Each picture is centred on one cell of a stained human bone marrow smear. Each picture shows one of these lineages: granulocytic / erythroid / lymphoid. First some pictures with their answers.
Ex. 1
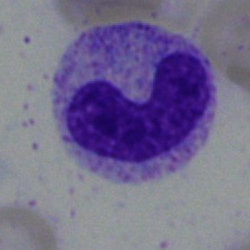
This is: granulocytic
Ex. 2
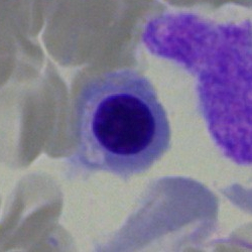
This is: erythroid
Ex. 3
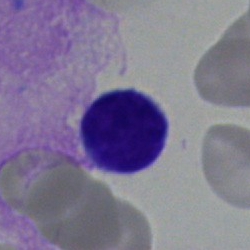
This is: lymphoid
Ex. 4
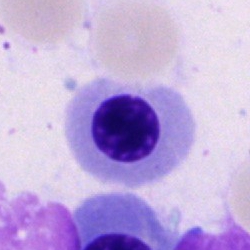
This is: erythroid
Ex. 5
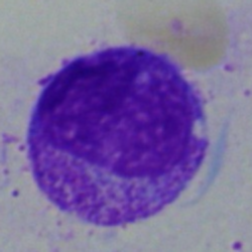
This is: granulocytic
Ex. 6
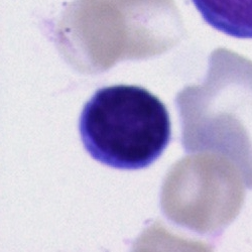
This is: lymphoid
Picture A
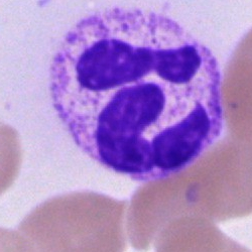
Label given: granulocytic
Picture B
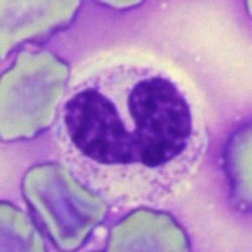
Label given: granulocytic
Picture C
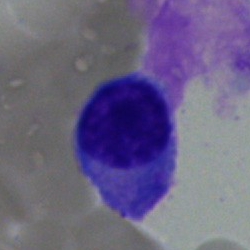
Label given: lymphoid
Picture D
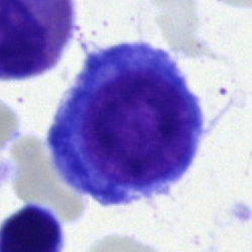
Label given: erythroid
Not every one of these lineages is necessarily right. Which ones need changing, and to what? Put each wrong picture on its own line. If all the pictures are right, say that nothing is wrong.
All labels are correct.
